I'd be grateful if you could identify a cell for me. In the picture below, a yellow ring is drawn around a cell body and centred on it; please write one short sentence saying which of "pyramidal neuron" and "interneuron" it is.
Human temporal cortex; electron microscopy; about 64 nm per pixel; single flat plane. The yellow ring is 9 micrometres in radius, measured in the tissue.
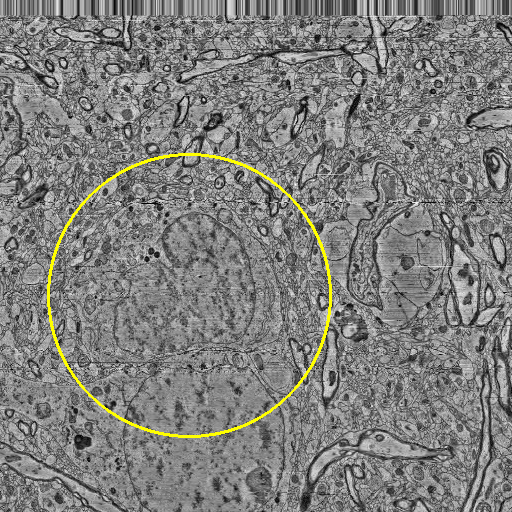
The cell under the ring's centre is an interneuron.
